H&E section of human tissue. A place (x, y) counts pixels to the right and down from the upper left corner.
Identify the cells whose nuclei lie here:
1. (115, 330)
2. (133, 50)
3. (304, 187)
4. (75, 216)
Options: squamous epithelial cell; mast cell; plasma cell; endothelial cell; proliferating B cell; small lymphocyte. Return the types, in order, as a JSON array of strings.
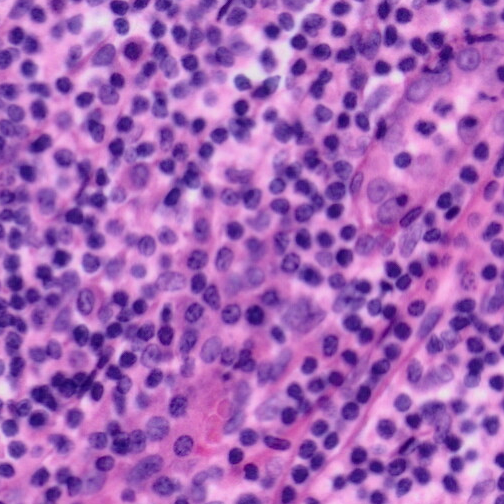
["small lymphocyte", "plasma cell", "small lymphocyte", "small lymphocyte"]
